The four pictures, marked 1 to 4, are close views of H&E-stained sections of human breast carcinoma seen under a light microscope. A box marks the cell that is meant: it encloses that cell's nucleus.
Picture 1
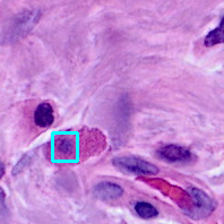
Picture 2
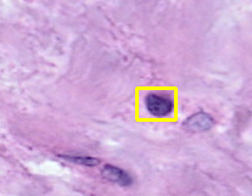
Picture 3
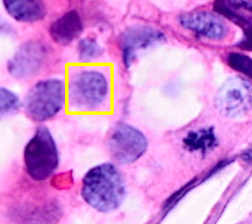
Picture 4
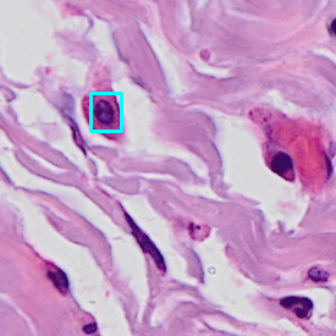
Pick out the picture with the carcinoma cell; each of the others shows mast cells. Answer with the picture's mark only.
3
